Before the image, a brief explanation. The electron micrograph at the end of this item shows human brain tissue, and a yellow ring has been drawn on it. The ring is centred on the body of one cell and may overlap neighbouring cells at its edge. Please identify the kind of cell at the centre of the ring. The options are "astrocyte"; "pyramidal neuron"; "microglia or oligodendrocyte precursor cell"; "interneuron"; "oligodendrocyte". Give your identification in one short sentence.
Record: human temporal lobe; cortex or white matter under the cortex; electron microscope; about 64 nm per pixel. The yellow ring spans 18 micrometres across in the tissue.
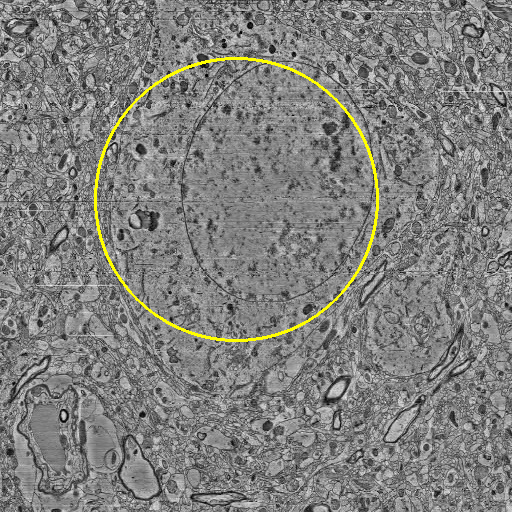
The ring has been placed around a pyramidal neuron.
